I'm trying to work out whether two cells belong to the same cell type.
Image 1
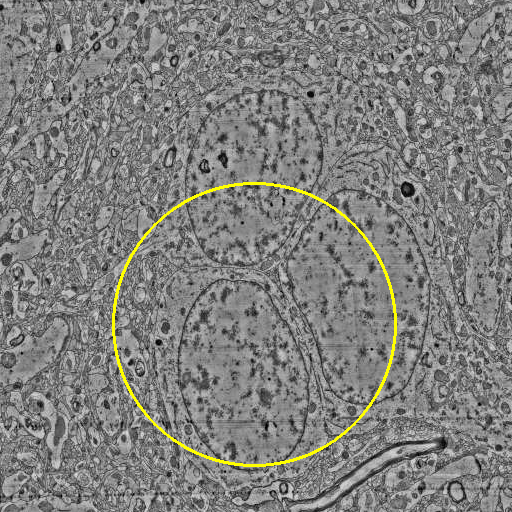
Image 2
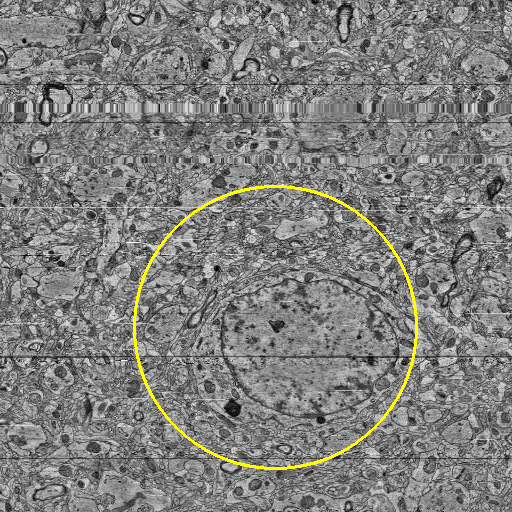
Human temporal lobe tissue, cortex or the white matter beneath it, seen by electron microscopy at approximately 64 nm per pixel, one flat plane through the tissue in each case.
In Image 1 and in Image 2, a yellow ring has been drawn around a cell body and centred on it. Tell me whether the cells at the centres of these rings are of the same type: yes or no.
yes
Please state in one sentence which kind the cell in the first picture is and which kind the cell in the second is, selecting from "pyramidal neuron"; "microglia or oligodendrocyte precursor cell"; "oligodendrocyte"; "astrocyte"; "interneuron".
The cell at the ring centre is a pyramidal neuron in both pictures.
